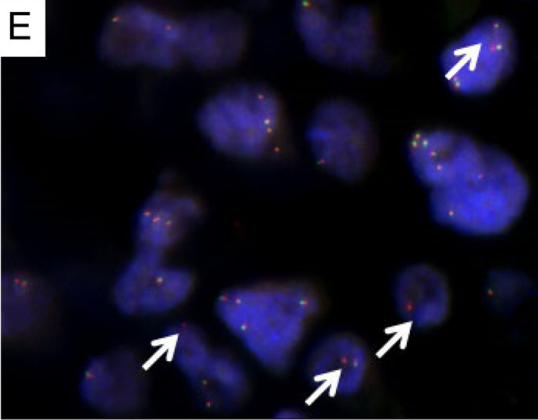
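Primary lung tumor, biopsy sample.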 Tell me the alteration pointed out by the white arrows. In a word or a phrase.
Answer: Break-apart pattern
